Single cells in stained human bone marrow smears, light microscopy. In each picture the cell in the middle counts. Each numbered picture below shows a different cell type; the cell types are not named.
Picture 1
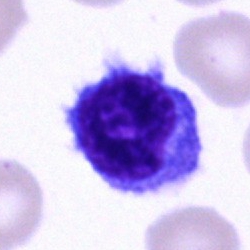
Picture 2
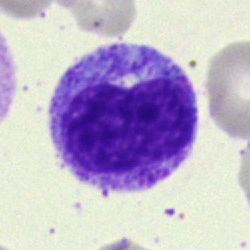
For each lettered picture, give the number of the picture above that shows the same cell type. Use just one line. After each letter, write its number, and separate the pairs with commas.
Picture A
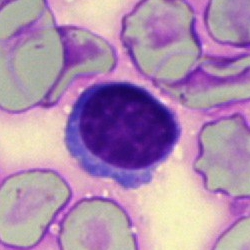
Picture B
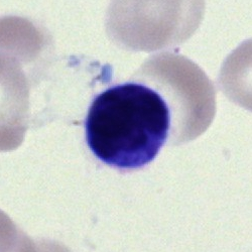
A 1, B 1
